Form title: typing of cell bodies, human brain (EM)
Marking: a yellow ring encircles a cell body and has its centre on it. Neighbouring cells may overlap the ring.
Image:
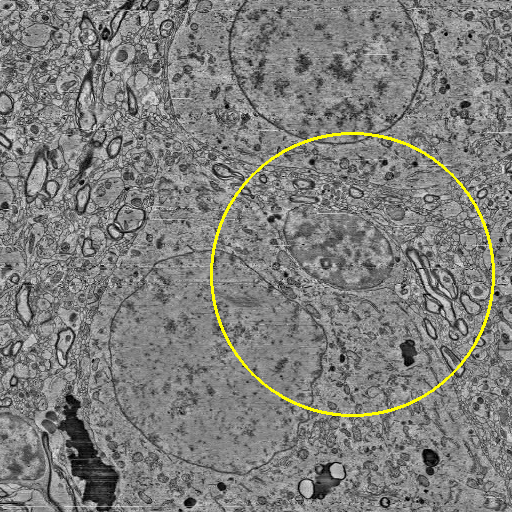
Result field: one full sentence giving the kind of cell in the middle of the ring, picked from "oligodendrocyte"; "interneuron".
In the picture, the ring is centred on an oligodendrocyte, whose cell body it encircles.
